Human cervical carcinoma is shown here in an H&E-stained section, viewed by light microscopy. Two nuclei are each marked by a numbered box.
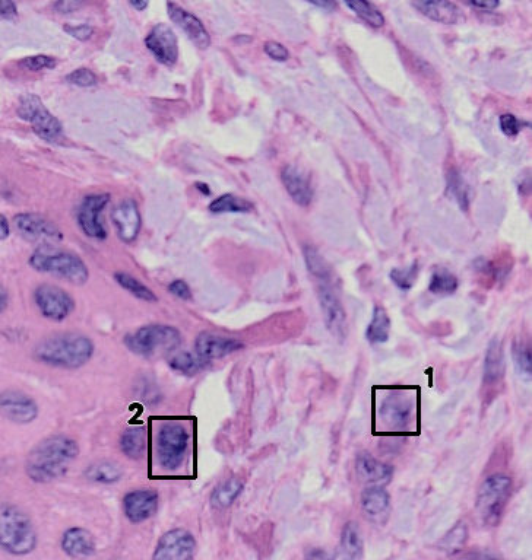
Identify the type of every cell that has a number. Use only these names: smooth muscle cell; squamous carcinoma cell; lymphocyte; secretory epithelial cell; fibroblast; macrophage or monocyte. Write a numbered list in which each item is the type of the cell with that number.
1. fibroblast
2. squamous carcinoma cell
